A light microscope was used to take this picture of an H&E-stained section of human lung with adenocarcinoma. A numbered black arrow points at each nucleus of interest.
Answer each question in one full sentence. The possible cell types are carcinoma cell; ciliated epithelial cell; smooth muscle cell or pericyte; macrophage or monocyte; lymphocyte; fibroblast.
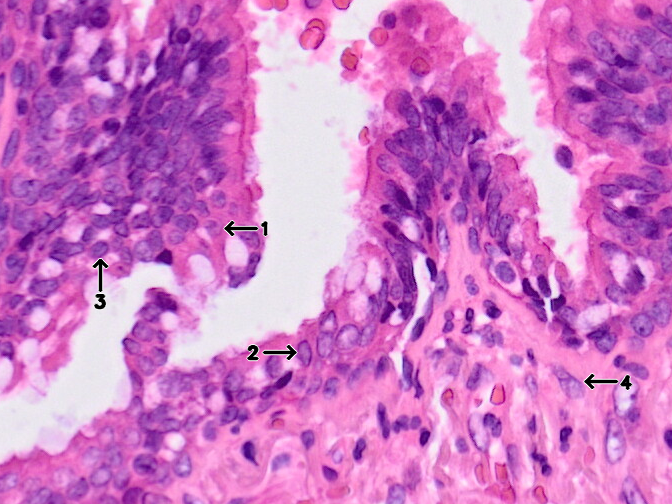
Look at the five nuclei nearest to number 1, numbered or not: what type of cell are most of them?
Most of the five nuclei nearest to number 1 are those of ciliated epithelial cells.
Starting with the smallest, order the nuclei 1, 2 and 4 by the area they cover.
By area, going up from the smallest, they rank 1, 2, 4.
